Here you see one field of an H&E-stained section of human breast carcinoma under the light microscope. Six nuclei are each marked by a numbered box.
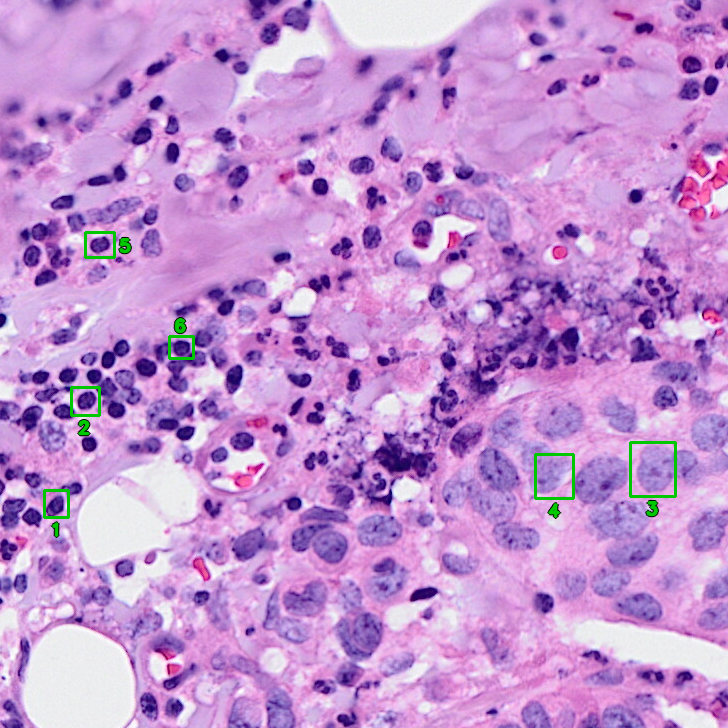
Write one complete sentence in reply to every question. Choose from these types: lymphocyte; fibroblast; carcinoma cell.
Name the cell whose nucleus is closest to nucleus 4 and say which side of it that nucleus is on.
It is a carcinoma cell, whose nucleus lies above and to the left of nucleus 4.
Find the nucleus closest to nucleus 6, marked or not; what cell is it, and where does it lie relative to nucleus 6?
It is a lymphocyte, whose nucleus lies below nucleus 6.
